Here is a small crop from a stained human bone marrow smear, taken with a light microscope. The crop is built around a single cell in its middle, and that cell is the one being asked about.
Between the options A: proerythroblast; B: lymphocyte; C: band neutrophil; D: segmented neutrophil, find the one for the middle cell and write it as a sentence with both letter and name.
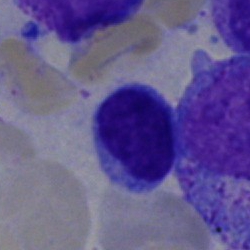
That cell in the center is a lymphocyte, hence option B.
